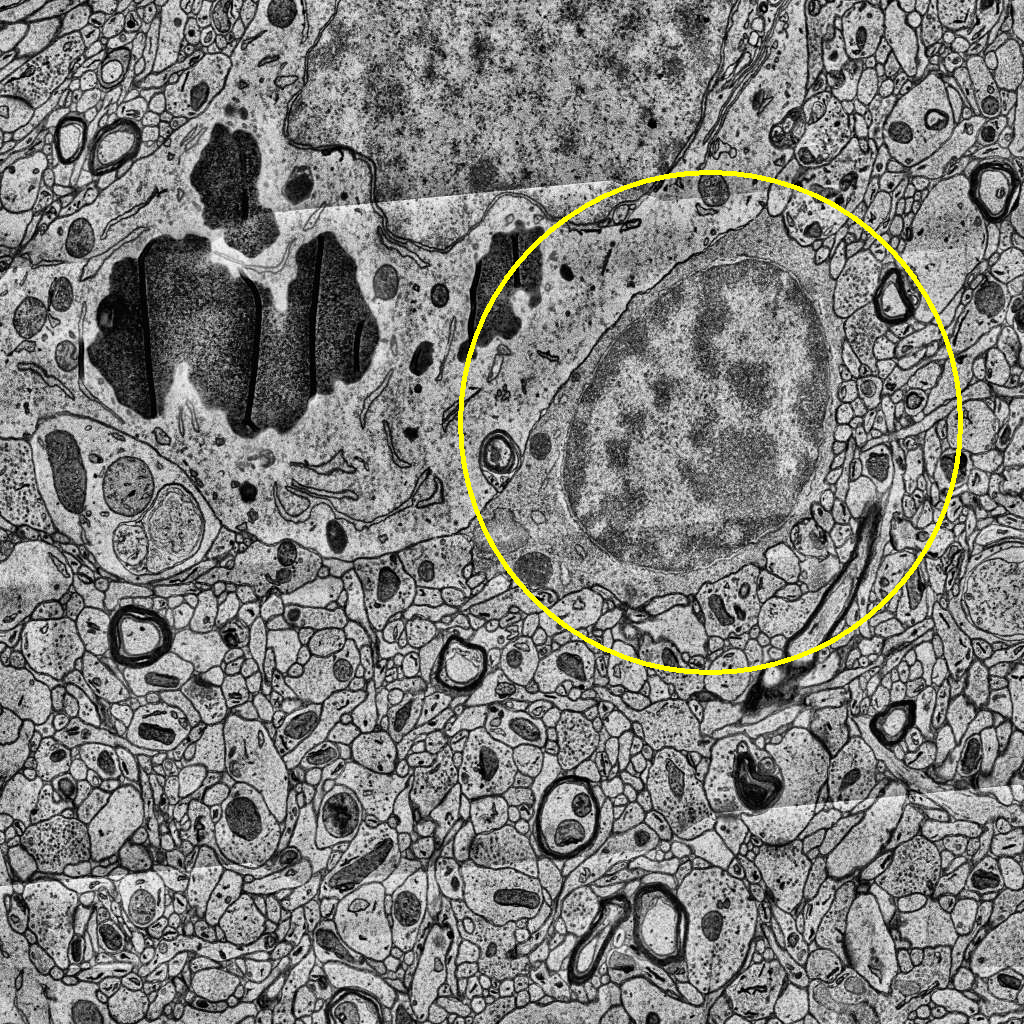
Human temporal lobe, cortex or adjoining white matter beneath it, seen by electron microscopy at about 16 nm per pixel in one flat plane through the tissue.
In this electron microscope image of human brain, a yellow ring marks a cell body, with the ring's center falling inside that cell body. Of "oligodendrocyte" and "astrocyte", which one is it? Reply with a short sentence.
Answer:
It is an oligodendrocyte at the center of the ring.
